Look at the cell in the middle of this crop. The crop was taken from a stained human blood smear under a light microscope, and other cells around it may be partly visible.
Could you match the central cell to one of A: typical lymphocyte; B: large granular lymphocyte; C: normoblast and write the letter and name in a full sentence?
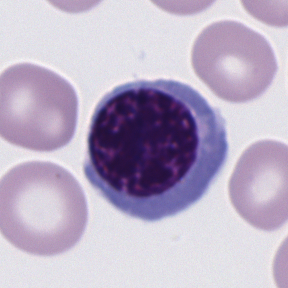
The cell at the centre is a normoblast, and option C accordingly is correct.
